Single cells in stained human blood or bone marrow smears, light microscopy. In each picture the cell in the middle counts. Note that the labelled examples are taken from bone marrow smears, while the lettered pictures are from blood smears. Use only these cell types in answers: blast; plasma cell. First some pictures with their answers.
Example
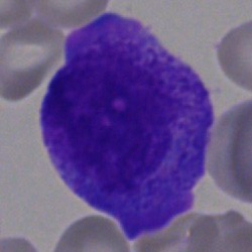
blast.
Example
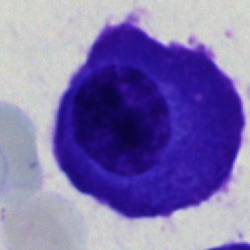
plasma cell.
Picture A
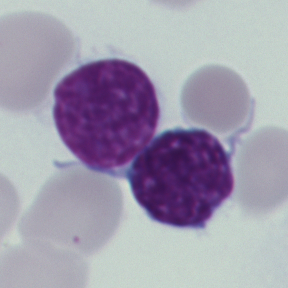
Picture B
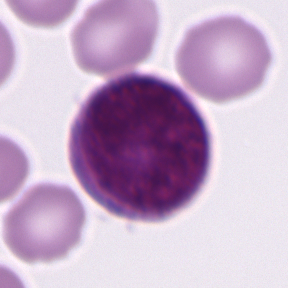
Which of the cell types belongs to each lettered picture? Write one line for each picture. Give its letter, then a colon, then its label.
A: blast.
B: blast.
